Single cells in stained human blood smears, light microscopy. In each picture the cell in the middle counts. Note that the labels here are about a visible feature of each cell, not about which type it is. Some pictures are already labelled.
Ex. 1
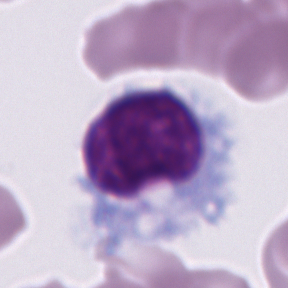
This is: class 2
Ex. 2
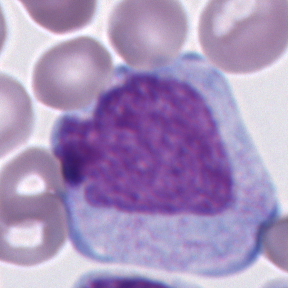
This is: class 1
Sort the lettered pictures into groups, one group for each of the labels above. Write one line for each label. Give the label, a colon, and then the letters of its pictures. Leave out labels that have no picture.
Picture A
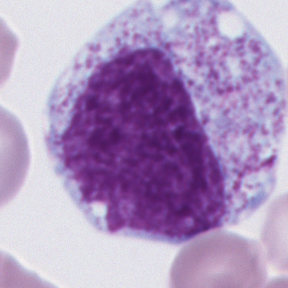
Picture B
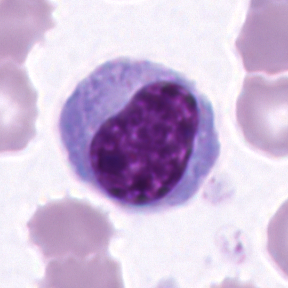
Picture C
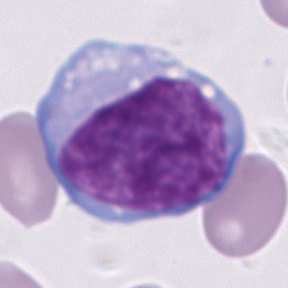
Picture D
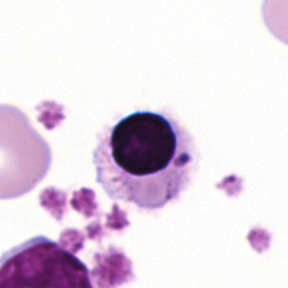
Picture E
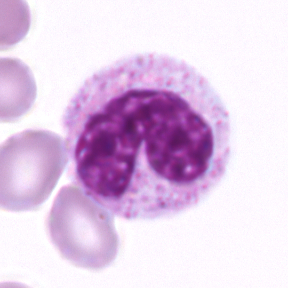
class 2: A, C, D
class 1: B, E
